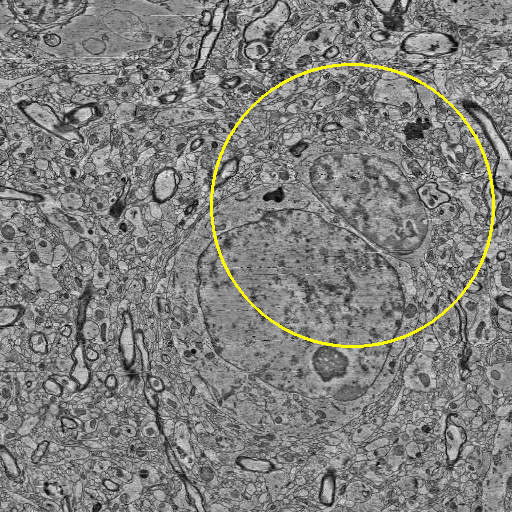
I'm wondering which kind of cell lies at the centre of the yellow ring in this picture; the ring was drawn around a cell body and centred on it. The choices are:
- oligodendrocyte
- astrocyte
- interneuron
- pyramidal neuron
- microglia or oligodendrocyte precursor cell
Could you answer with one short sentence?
At the centre of the ring lies an oligodendrocyte.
